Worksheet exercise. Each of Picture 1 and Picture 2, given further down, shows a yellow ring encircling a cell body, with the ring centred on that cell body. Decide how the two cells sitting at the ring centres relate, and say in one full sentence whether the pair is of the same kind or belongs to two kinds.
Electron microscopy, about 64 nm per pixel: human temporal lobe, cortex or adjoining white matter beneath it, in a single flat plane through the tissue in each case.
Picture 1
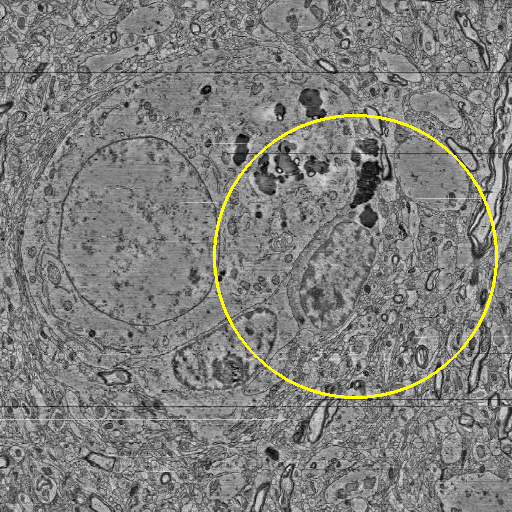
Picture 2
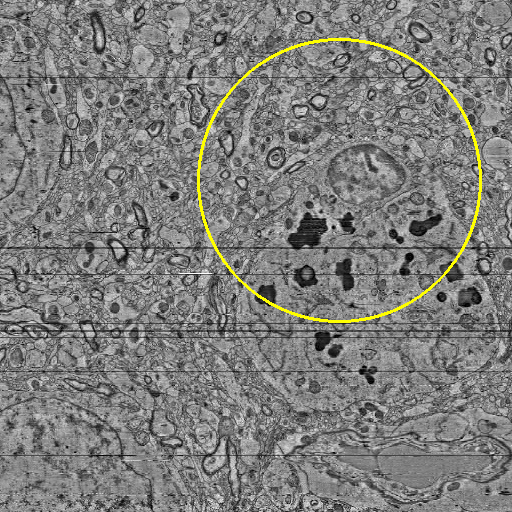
The cells at the ring centres in Picture 1 and Picture 2 are of the same kind.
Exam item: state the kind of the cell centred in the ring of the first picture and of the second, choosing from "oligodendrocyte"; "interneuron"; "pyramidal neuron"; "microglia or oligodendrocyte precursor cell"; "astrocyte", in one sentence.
Both rings mark an oligodendrocyte, one in each picture.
